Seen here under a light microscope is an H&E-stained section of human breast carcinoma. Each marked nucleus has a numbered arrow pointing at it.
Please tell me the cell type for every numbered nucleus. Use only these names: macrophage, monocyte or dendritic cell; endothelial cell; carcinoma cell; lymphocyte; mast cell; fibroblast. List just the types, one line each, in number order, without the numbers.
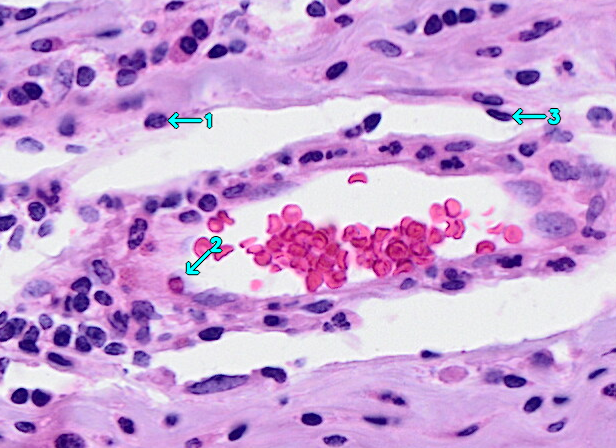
lymphocyte
endothelial cell
lymphocyte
